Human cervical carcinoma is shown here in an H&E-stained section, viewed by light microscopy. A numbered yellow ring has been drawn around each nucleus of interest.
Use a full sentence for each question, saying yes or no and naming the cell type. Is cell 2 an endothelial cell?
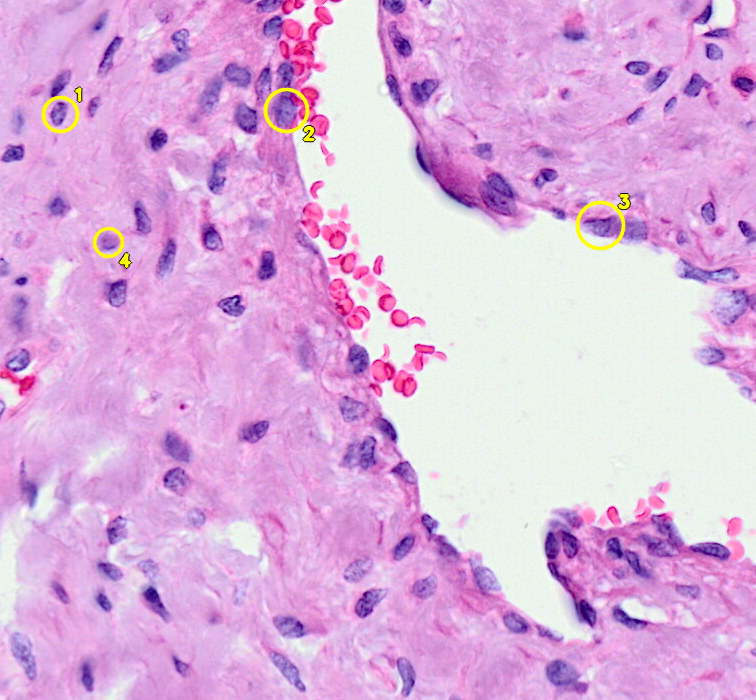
Yes, the numbered cell 2 is an endothelial cell.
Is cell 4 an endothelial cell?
No, cell 4 should be classed as a fibroblast, not as an endothelial cell.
